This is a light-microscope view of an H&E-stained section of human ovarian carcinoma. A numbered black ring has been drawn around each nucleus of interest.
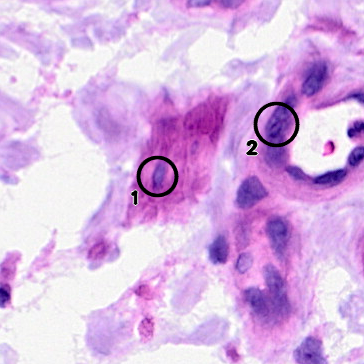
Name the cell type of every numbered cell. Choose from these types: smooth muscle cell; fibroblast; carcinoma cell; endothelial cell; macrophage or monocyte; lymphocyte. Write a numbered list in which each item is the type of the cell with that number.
1. smooth muscle cell
2. endothelial cell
